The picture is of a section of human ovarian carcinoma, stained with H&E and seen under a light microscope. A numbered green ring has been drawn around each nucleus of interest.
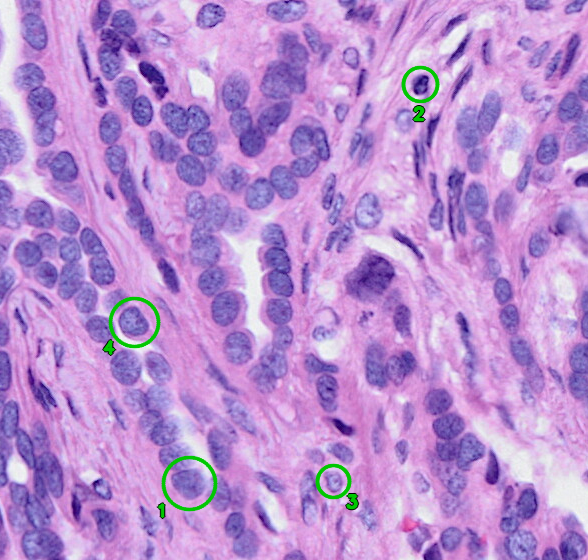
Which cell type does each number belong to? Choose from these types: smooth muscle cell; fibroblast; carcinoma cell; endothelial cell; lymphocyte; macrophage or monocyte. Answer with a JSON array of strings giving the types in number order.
["carcinoma cell", "lymphocyte", "fibroblast", "carcinoma cell"]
